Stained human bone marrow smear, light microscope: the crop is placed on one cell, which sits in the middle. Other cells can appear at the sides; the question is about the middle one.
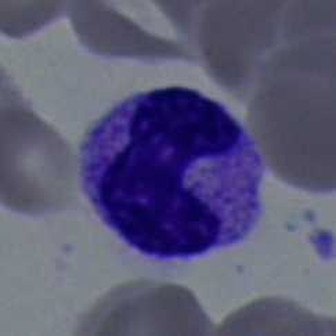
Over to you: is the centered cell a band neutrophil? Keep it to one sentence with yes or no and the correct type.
Yes, the identification of the central cell as a band neutrophil is correct.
